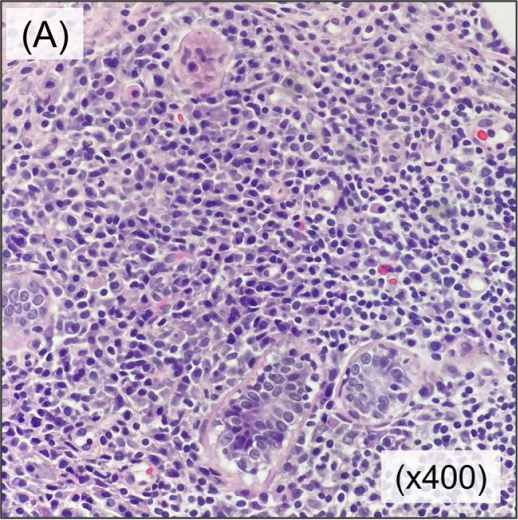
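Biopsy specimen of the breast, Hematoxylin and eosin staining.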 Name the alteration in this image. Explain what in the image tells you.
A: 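Sheets of small round cells with dense dark nuclei fill the field. Small duct profiles lined by epithelium are embedded within and surrounded by the dense cell infiltrate.
Hence: marked lymphocyte infiltration.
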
